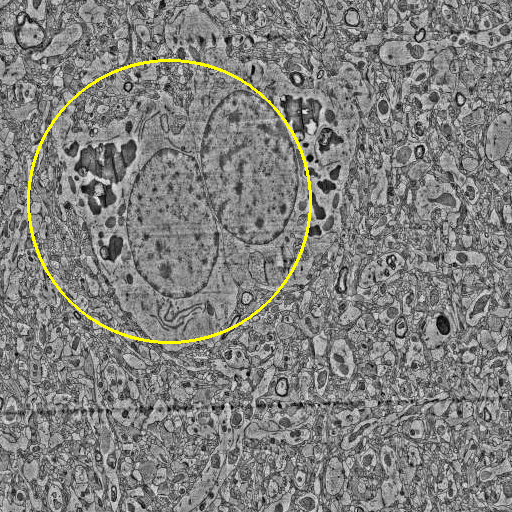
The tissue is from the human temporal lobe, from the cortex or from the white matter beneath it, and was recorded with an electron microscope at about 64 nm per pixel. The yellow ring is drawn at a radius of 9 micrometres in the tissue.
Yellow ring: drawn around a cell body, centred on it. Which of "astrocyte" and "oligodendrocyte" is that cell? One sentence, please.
That cell body is from an astrocyte.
